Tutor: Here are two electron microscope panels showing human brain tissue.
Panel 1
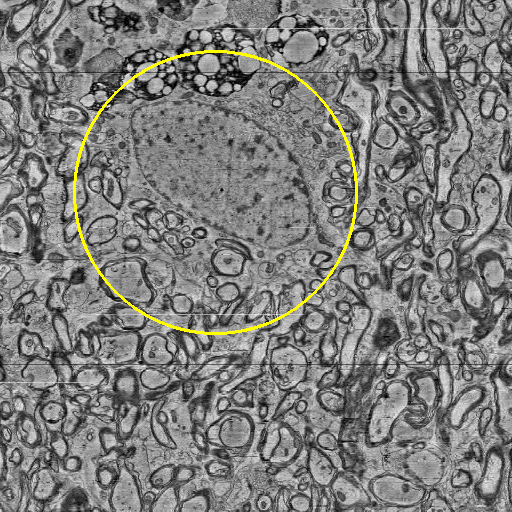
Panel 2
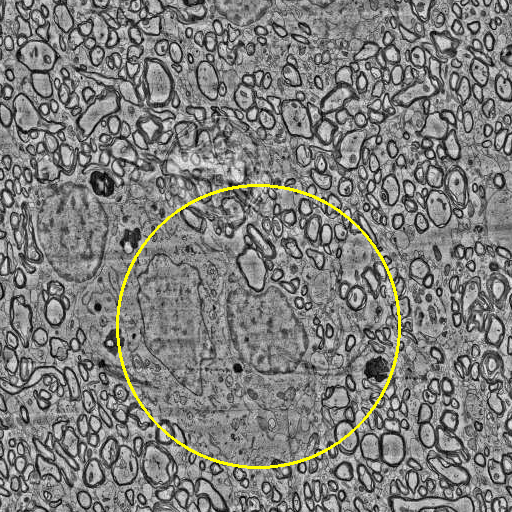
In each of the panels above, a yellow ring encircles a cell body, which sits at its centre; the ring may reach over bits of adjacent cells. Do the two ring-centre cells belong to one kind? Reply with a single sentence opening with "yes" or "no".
No, the two cells sitting at the ring centres in the panels belong to two kinds.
